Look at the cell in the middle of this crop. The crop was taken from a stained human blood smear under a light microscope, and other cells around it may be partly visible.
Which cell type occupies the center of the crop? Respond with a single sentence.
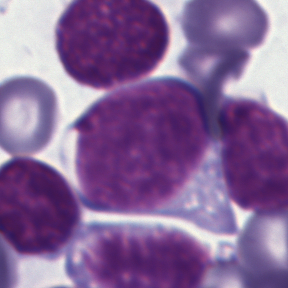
Occupying the centre of the crop is a myeloblast.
